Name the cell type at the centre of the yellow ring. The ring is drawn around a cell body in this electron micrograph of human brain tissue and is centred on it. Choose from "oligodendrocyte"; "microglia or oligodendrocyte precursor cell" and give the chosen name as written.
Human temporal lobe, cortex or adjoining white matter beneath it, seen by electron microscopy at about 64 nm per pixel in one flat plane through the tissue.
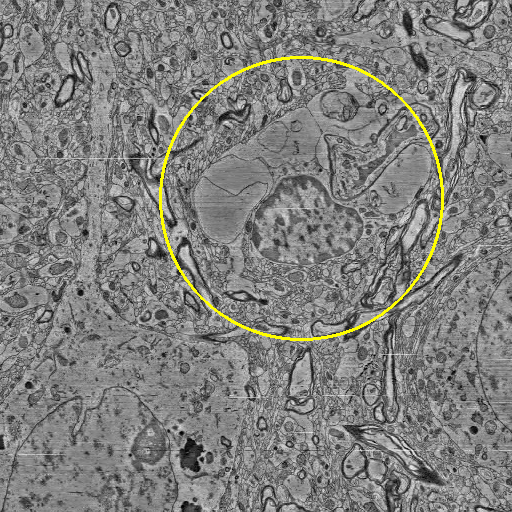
microglia or oligodendrocyte precursor cell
